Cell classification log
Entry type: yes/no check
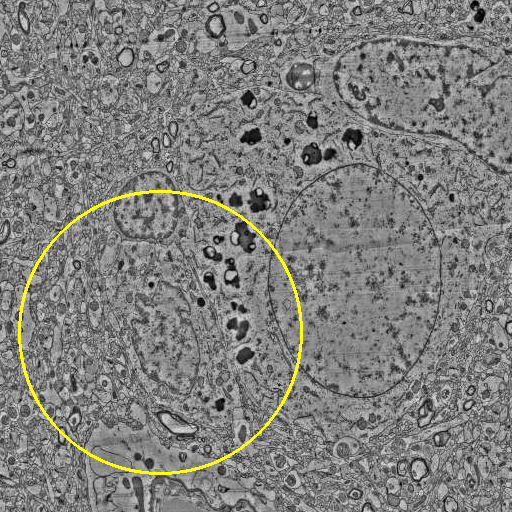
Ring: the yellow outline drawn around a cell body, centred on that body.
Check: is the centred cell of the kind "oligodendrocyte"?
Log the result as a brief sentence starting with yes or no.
No, the cell is of another kind.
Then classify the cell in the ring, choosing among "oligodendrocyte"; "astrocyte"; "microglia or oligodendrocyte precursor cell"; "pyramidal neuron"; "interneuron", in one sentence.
The ring holds an interneuron at its centre.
